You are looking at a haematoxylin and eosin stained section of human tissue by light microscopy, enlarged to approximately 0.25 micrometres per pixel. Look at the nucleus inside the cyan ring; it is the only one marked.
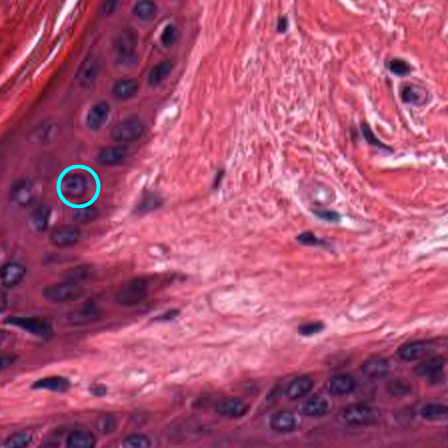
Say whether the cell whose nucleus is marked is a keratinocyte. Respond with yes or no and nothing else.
yes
